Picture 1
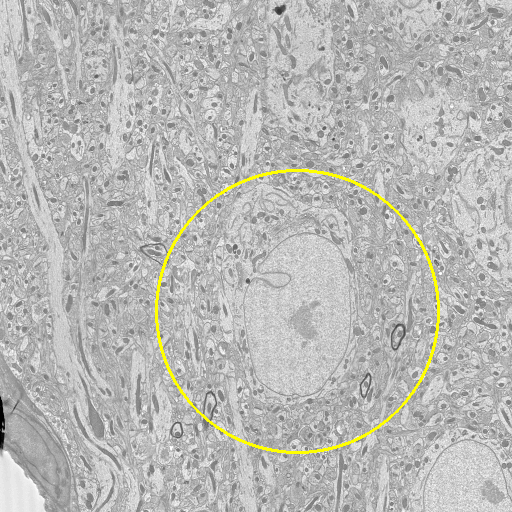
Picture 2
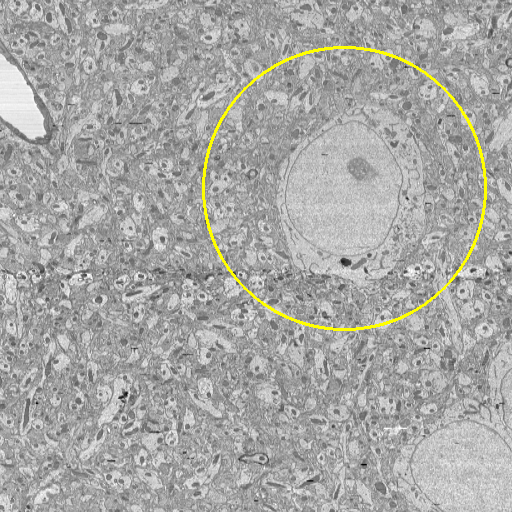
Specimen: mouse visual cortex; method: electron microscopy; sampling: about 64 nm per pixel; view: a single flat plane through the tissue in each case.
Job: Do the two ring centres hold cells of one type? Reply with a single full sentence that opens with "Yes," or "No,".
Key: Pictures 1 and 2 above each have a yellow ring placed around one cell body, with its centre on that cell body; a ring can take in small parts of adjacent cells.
No, the cells at the two ring centres are of two separate types.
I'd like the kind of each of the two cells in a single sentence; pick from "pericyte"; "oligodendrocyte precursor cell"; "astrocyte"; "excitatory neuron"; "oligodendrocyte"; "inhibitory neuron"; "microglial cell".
The first ring marks an inhibitory neuron, and the second ring marks an excitatory neuron.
